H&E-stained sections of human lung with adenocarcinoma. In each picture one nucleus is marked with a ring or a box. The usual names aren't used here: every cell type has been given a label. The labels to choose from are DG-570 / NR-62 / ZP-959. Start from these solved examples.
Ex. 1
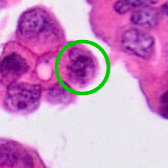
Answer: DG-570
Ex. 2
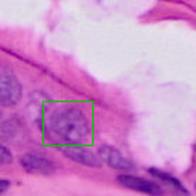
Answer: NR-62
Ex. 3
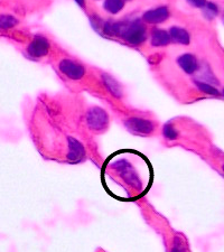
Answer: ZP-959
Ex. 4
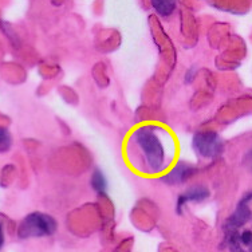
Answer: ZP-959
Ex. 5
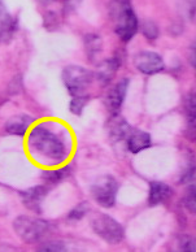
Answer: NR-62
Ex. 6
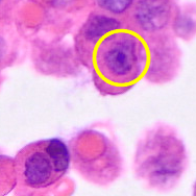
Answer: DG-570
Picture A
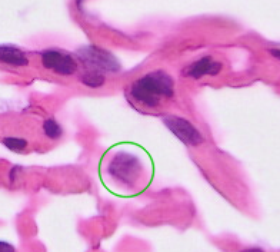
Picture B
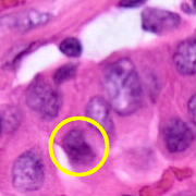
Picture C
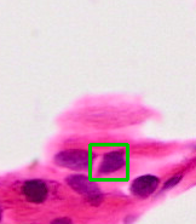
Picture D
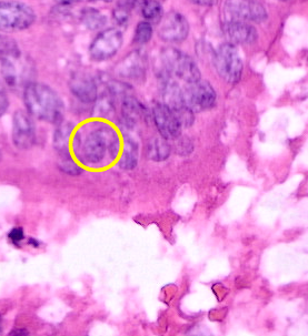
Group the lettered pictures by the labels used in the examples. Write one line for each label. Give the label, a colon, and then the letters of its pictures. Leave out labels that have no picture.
DG-570: B
NR-62: D
ZP-959: A, C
